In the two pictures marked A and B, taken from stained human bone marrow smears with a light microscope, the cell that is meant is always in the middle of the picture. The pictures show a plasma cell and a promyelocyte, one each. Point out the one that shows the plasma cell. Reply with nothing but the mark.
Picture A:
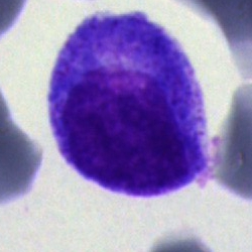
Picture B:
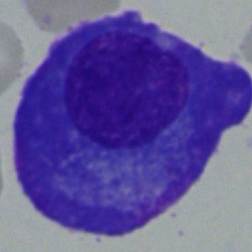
B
